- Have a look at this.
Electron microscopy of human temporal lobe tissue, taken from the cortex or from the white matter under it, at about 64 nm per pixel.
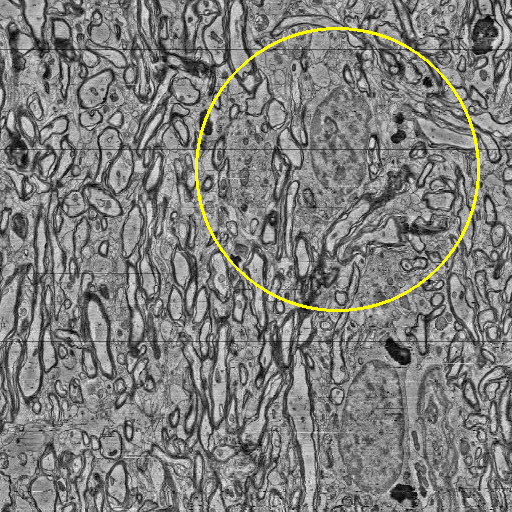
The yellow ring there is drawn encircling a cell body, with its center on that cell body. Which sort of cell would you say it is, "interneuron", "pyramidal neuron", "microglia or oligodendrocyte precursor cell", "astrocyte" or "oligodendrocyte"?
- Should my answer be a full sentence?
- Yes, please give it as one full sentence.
For this picture, an oligodendrocyte is the cell where the yellow ring has its center.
